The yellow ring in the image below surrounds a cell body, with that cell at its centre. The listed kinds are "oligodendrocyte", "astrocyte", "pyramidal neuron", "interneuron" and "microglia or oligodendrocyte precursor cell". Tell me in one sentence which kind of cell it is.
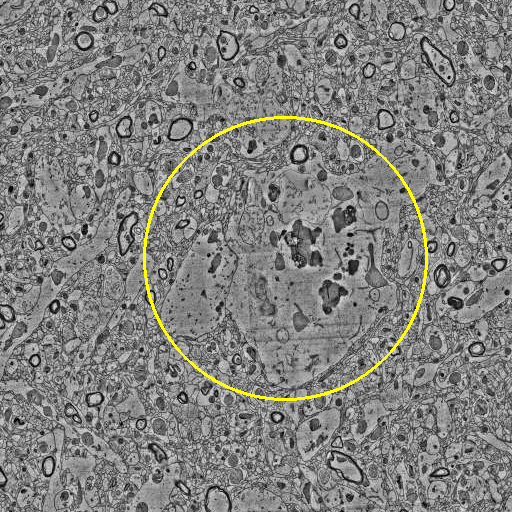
The centre of the ring holds an astrocyte.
